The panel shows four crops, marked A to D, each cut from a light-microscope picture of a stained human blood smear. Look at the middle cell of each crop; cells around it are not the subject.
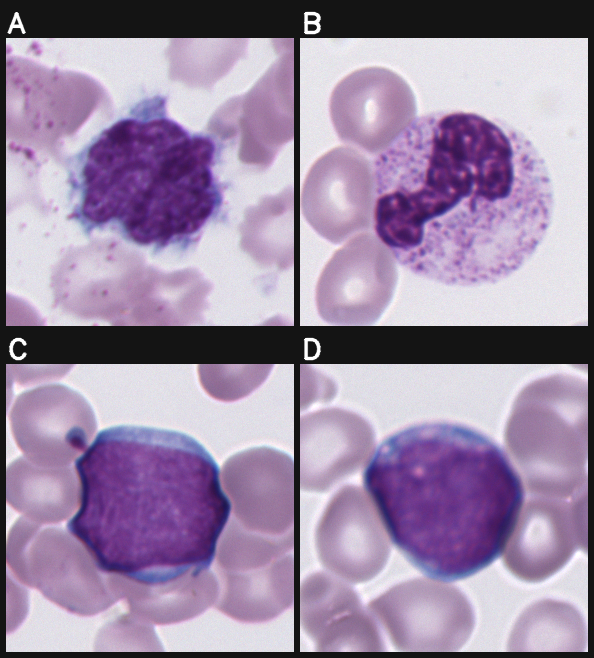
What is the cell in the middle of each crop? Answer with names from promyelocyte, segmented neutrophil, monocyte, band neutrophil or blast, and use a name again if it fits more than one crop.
A: monocyte
B: segmented neutrophil
C: blast
D: blast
